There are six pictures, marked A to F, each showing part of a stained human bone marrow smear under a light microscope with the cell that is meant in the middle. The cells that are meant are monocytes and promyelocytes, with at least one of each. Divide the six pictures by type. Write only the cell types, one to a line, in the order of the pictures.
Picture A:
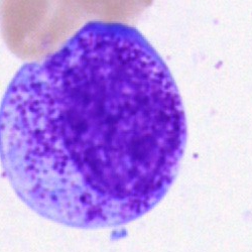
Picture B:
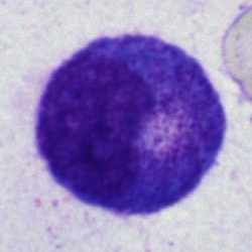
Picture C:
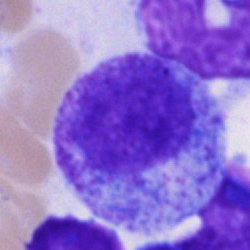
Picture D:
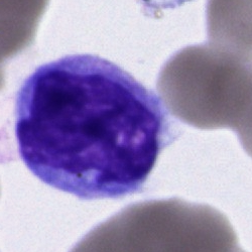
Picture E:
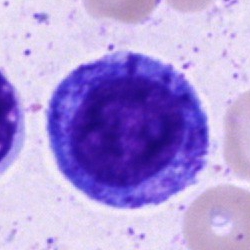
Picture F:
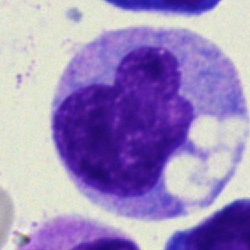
promyelocyte
promyelocyte
promyelocyte
monocyte
promyelocyte
monocyte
